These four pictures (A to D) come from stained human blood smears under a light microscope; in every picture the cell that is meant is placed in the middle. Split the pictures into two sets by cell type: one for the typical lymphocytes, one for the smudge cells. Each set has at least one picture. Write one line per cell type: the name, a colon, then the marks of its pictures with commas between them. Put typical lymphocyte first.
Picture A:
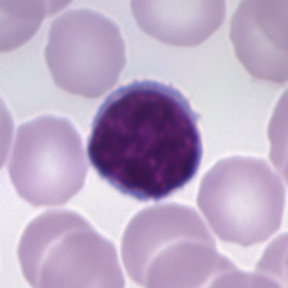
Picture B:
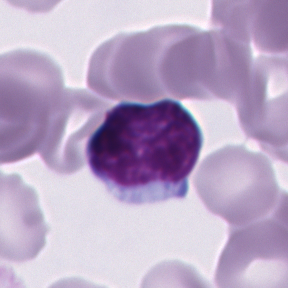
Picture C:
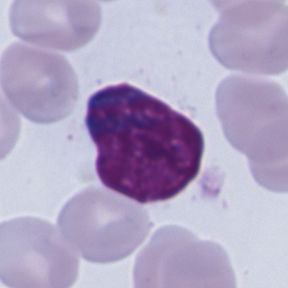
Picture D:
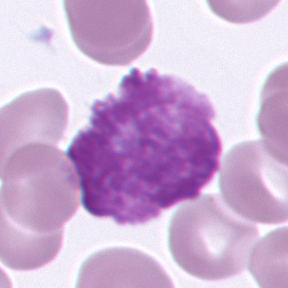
typical lymphocyte: A, B
smudge cell: C, D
